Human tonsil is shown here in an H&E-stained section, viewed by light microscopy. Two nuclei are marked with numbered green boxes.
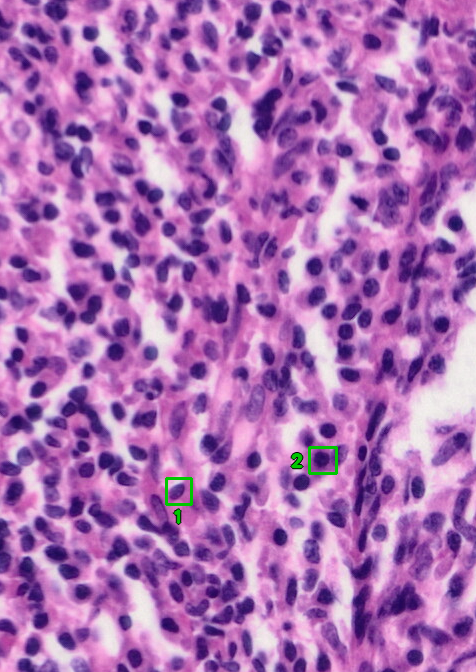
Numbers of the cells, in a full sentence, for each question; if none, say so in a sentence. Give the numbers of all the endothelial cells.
No marked cell except number 1 is an endothelial cell.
